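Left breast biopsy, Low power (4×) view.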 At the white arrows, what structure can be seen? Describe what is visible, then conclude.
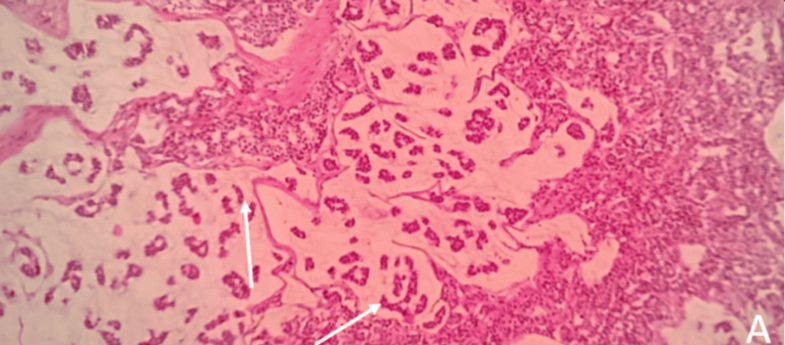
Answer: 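Small groups of dark-purple nuclei sit apart from one another. The groups float in wide pale pink, nearly cell-free spaces. The arrows point at such small groups within the pale areas. So: clusters of tumor cells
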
